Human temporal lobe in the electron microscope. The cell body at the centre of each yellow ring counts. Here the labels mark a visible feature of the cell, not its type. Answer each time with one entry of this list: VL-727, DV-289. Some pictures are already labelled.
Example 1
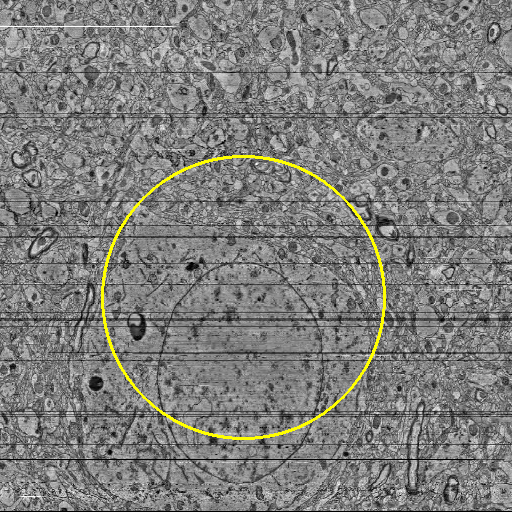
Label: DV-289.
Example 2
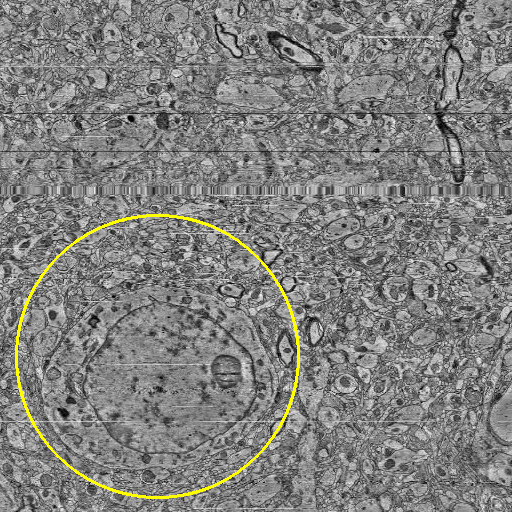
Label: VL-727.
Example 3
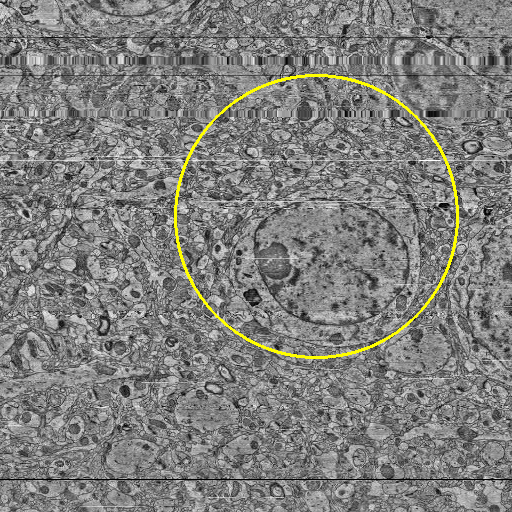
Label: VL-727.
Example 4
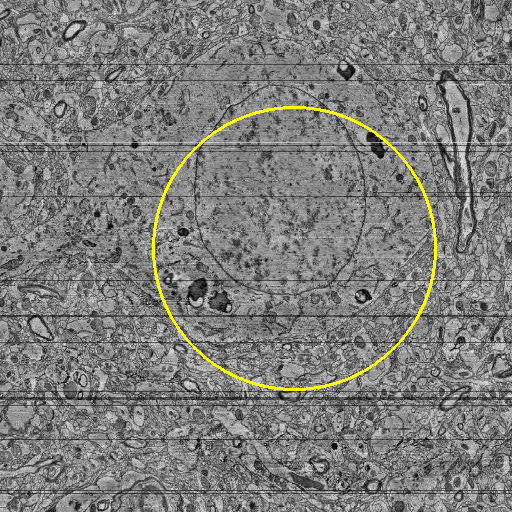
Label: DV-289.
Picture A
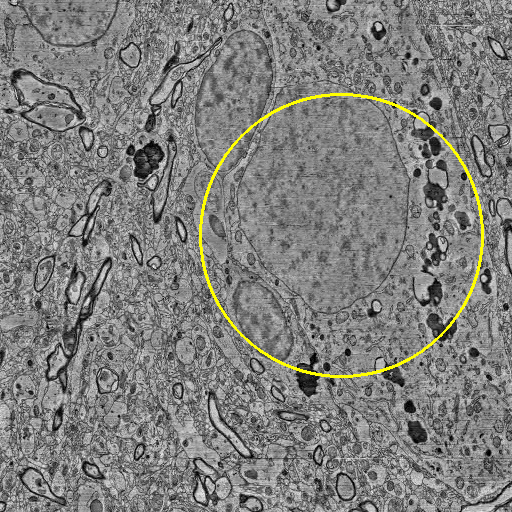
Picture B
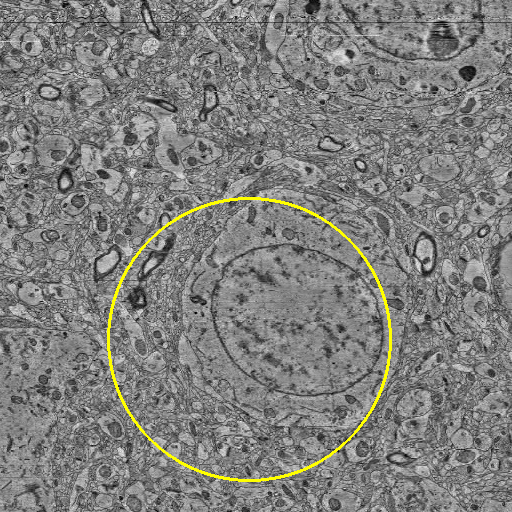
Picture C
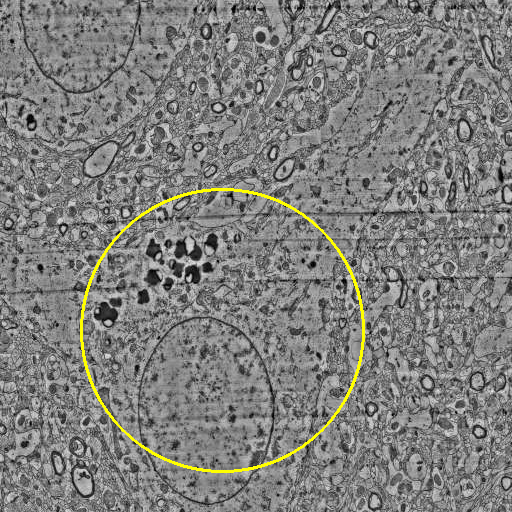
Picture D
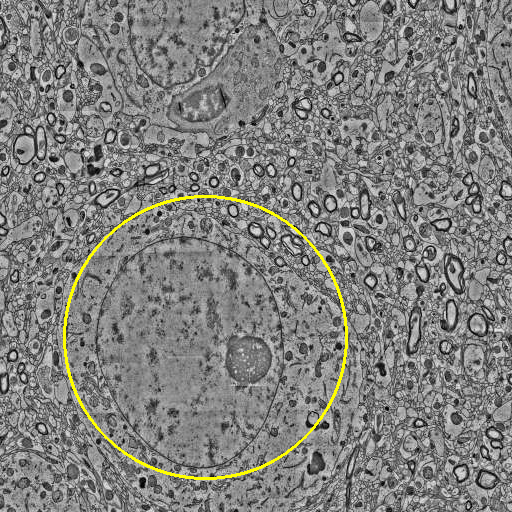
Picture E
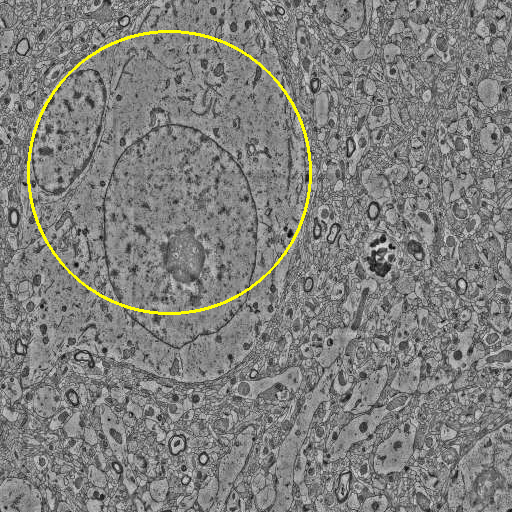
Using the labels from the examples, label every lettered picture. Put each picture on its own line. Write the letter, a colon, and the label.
A: DV-289.
B: DV-289.
C: DV-289.
D: VL-727.
E: VL-727.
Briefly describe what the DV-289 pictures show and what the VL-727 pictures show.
DV-289, no nucleolus seen; VL-727, nucleolus seen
